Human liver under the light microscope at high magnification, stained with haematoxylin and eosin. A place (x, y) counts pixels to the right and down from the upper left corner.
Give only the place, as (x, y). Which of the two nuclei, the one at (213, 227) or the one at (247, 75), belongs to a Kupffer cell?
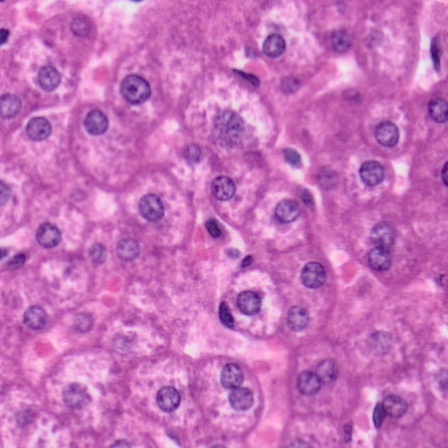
(213, 227)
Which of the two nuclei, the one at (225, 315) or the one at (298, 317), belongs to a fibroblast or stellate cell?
(225, 315)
